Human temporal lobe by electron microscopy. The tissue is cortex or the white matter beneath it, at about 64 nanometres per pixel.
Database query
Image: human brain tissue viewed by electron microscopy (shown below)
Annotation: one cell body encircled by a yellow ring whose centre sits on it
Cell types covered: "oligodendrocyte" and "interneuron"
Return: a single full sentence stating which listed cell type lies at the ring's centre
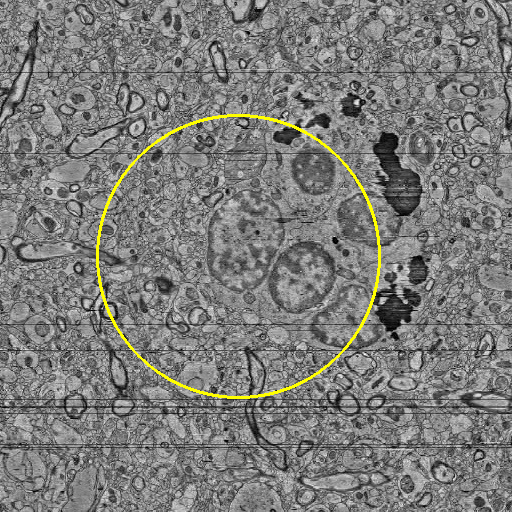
In the image, the cell lying at the ring's centre is an oligodendrocyte.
